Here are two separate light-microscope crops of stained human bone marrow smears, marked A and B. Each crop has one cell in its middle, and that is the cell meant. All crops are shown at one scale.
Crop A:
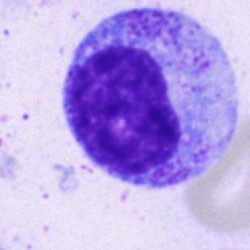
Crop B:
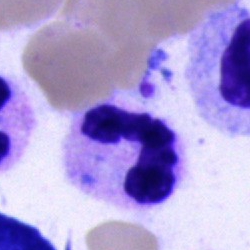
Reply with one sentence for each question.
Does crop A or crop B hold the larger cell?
Larger is the cell in crop A, at roughly 2.5 times the area of the other.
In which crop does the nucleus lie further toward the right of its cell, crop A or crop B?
It is the nucleus in crop B that lies further toward the right of its cell.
